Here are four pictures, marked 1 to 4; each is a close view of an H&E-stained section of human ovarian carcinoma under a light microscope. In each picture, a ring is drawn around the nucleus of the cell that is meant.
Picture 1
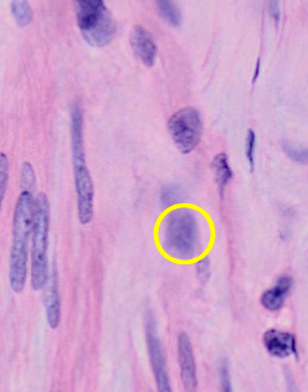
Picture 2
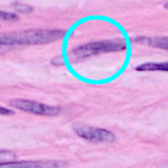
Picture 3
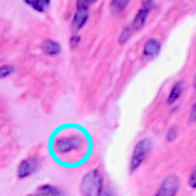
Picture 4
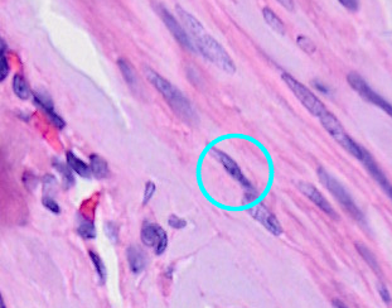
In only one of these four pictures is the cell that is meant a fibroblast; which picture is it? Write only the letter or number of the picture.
1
